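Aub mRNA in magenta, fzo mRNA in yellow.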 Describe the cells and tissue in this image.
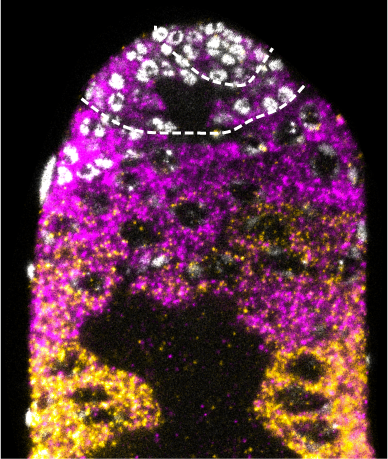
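The apical tip of a testis with bright white nuclei clustered at the very end. Magenta granules fill the cytoplasm of the cells near the tip and in the middle region, while yellow granules dominate in the larger cells further down, surrounding dark unlabelled nuclei.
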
